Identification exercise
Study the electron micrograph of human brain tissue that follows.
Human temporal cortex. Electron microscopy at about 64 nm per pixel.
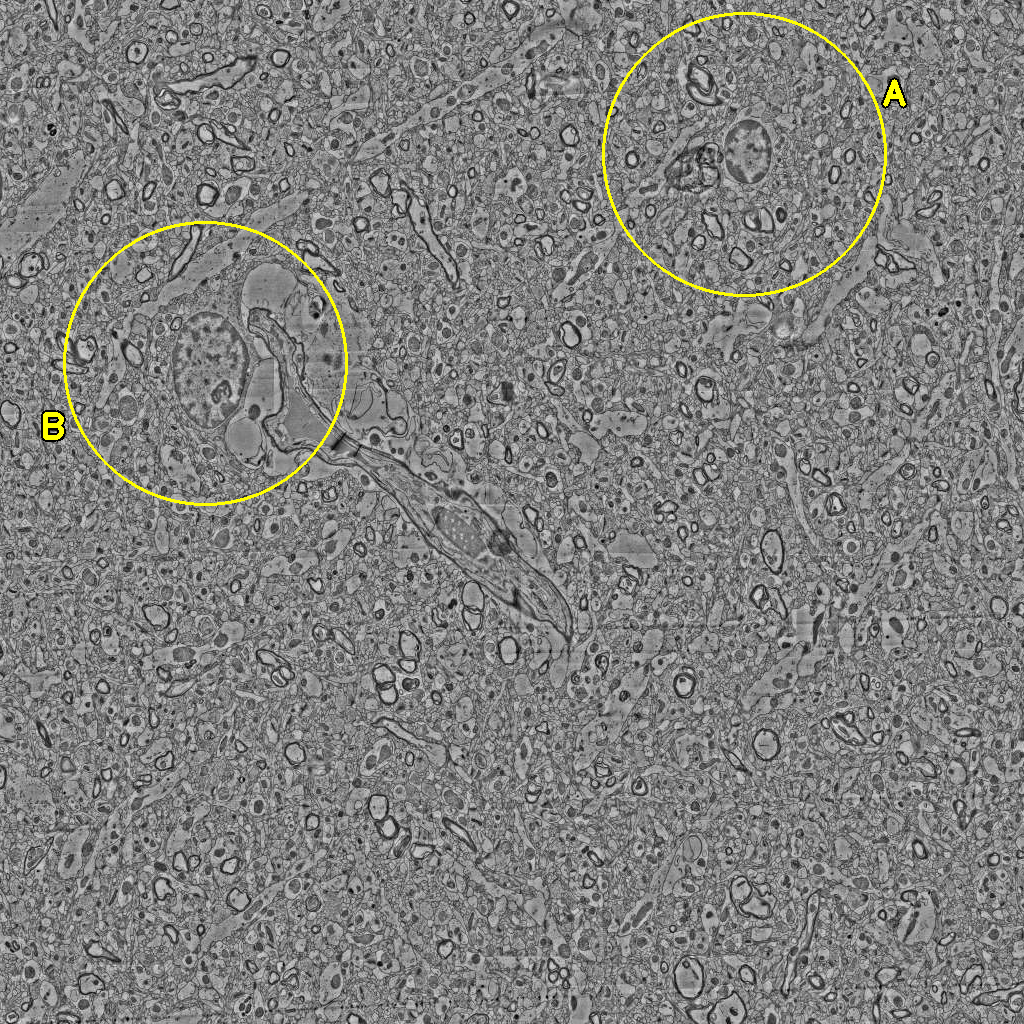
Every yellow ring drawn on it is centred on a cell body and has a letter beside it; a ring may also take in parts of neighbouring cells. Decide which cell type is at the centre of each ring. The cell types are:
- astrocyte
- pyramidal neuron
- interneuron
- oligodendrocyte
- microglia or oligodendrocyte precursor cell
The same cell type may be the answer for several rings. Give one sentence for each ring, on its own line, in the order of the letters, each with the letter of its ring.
Ring A encircles a microglial cell or oligodendrocyte precursor cell.
Ring B encircles an oligodendrocyte.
